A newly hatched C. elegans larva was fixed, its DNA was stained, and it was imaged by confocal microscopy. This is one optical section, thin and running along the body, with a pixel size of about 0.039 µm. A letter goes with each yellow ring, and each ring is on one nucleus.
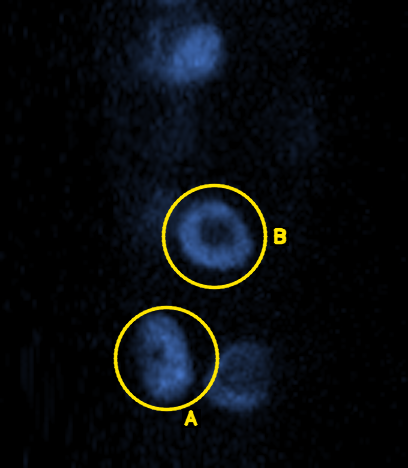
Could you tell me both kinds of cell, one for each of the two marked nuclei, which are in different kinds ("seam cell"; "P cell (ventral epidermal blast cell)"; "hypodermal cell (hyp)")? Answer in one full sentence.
B belongs to a seam cell, and A to a P cell (ventral epidermal blast cell).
